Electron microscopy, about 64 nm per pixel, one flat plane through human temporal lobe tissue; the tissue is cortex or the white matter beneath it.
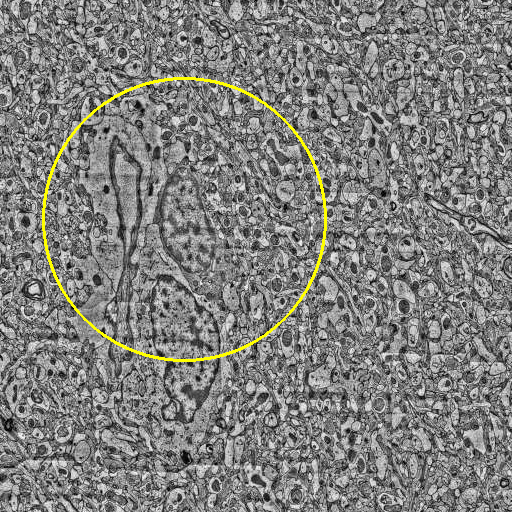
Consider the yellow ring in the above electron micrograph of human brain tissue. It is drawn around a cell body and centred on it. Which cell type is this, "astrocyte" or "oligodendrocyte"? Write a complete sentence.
The cell in question is an oligodendrocyte.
